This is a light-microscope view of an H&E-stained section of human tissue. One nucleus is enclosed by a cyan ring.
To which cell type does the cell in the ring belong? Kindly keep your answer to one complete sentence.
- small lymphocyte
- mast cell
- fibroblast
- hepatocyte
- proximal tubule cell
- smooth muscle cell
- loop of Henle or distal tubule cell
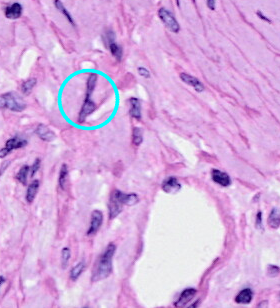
In this section of tissue, the cell in the ring is a fibroblast.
